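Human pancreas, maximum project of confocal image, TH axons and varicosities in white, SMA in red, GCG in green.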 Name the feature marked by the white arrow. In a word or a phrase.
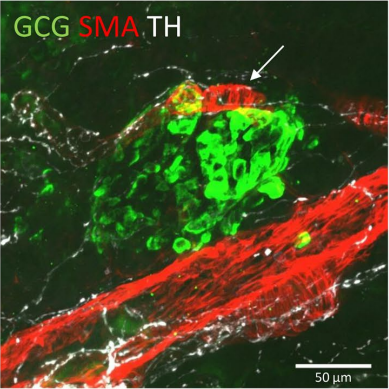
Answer: Islet arteriole.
